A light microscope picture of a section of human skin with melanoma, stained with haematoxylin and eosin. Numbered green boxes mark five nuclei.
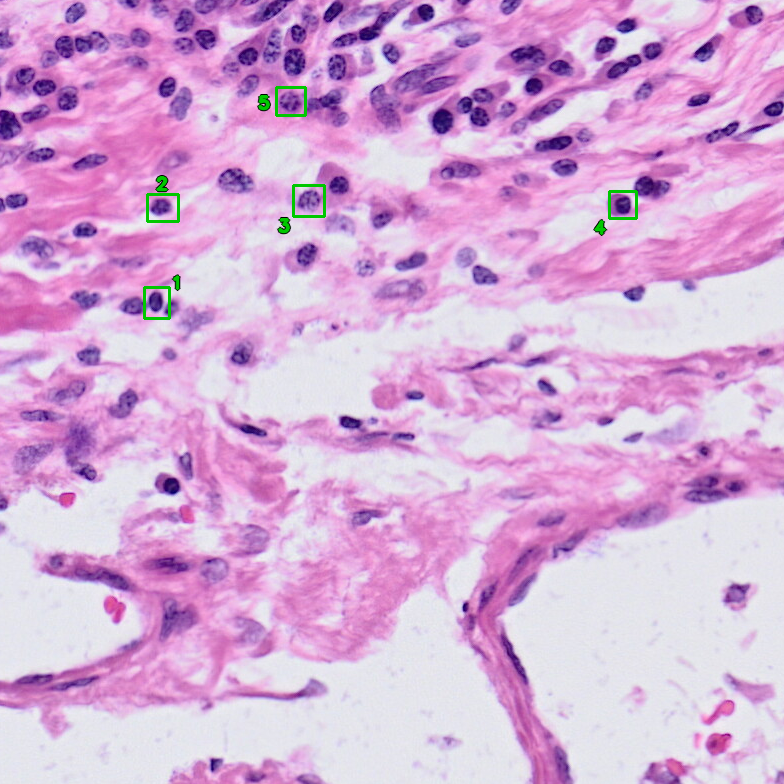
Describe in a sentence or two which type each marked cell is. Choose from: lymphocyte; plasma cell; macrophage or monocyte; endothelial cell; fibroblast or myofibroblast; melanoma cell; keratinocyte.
Cells 1 and 2 are lymphocytes. Cells 3, 4 and 5 are plasma cells.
